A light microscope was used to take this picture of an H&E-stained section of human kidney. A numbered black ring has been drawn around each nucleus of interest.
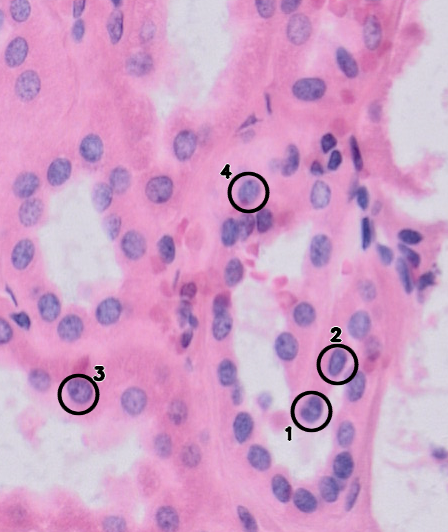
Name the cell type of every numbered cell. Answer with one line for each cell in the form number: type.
1: loop of Henle or distal tubule cell
2: loop of Henle or distal tubule cell
3: proximal tubule cell
4: loop of Henle or distal tubule cell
